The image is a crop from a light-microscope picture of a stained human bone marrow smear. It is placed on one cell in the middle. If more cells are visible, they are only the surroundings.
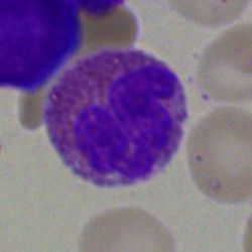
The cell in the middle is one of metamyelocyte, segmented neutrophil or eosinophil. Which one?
eosinophil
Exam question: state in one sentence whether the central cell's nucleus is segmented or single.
Kindly observe that the nucleus forms two or more lobes.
